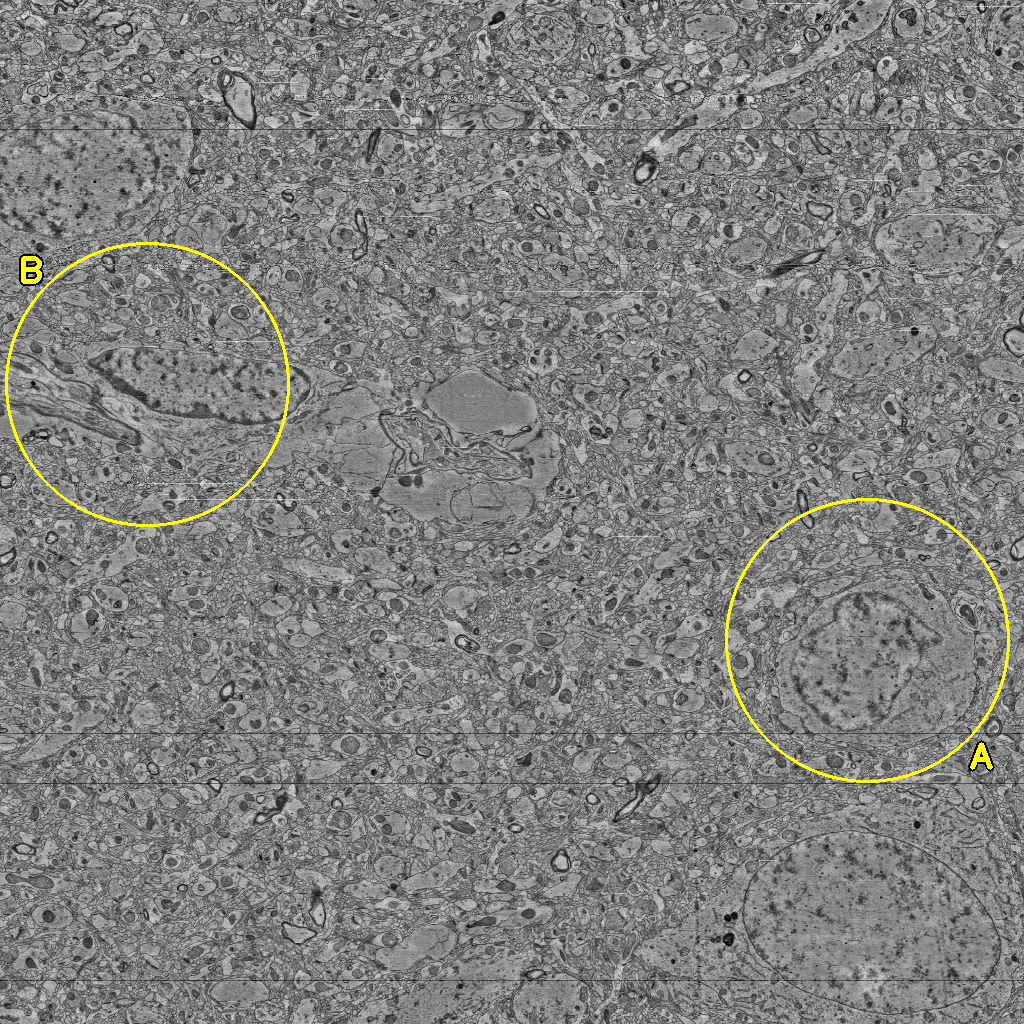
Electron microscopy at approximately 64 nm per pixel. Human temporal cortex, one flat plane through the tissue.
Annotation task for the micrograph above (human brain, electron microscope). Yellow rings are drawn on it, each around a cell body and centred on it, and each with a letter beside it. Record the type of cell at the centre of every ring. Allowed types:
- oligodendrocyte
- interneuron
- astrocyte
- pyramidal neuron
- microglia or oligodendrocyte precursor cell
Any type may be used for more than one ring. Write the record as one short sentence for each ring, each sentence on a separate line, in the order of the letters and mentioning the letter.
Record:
The cell centred in ring A is an interneuron.
The cell centred in ring B is a microglial cell or oligodendrocyte precursor cell.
